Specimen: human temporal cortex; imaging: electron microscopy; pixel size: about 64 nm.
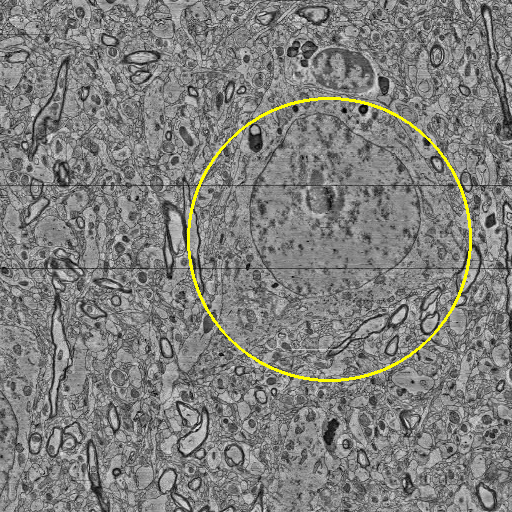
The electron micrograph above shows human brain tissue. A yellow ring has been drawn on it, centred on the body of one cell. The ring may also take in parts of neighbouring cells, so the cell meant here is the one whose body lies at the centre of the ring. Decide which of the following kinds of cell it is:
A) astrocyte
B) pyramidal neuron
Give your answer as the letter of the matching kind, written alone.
B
